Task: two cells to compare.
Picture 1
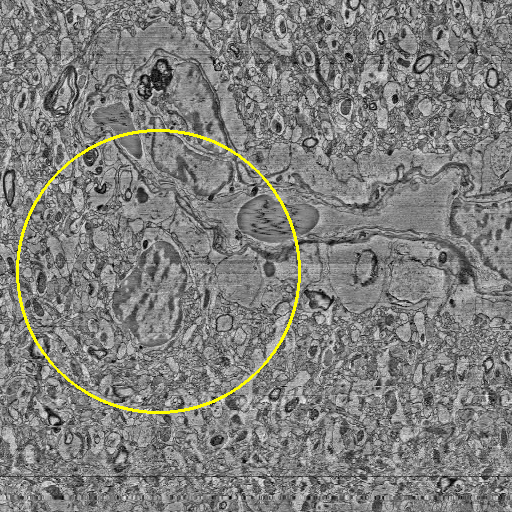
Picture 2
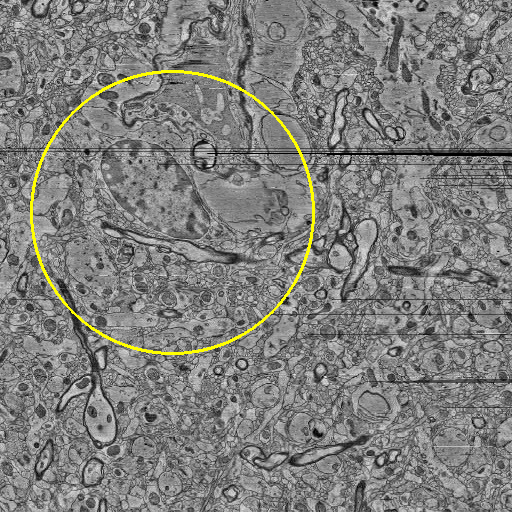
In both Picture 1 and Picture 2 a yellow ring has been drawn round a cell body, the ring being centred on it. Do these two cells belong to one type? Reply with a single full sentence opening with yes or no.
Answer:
Yes, the two cells at the ring centres in Picture 1 and Picture 2 share one type.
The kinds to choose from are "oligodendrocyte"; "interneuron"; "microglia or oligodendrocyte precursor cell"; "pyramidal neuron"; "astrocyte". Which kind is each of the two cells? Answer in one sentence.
In both pictures the ring is centred on a microglial cell or oligodendrocyte precursor cell.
